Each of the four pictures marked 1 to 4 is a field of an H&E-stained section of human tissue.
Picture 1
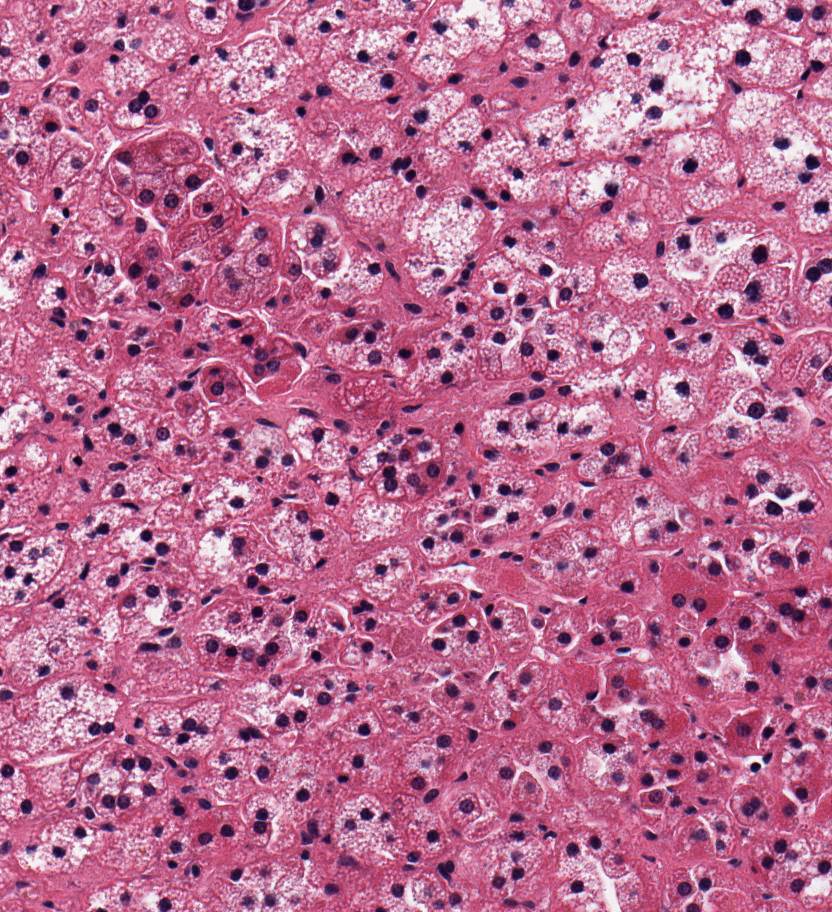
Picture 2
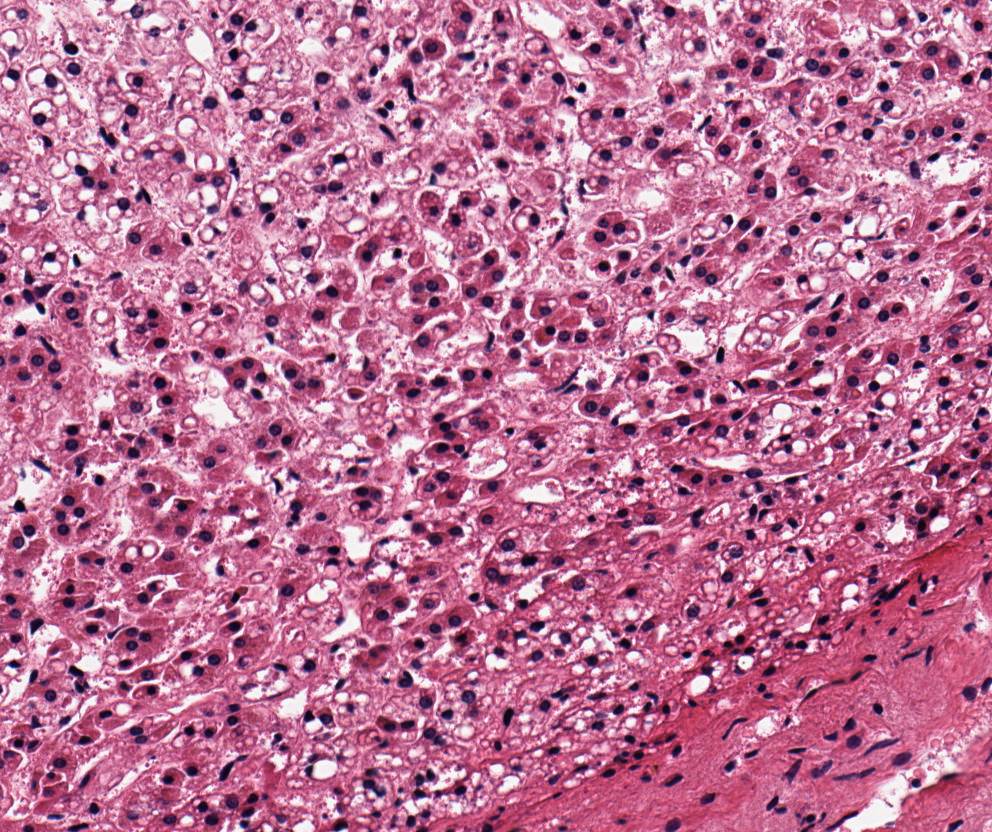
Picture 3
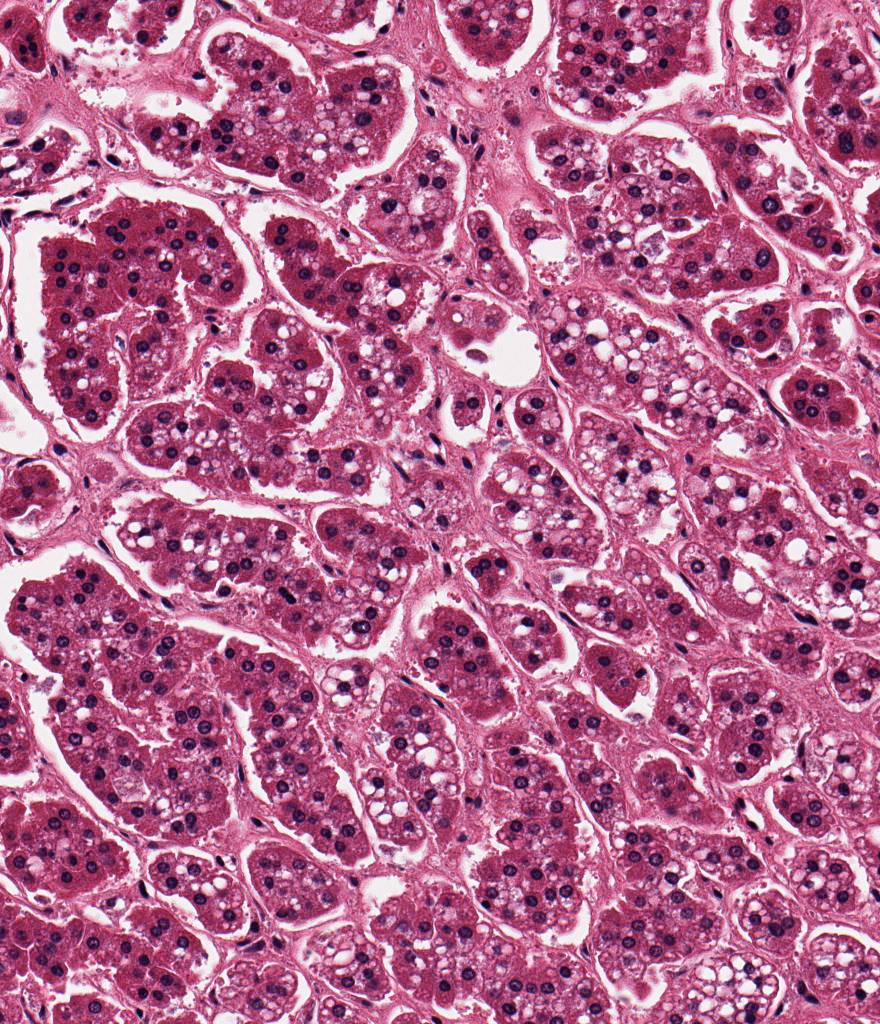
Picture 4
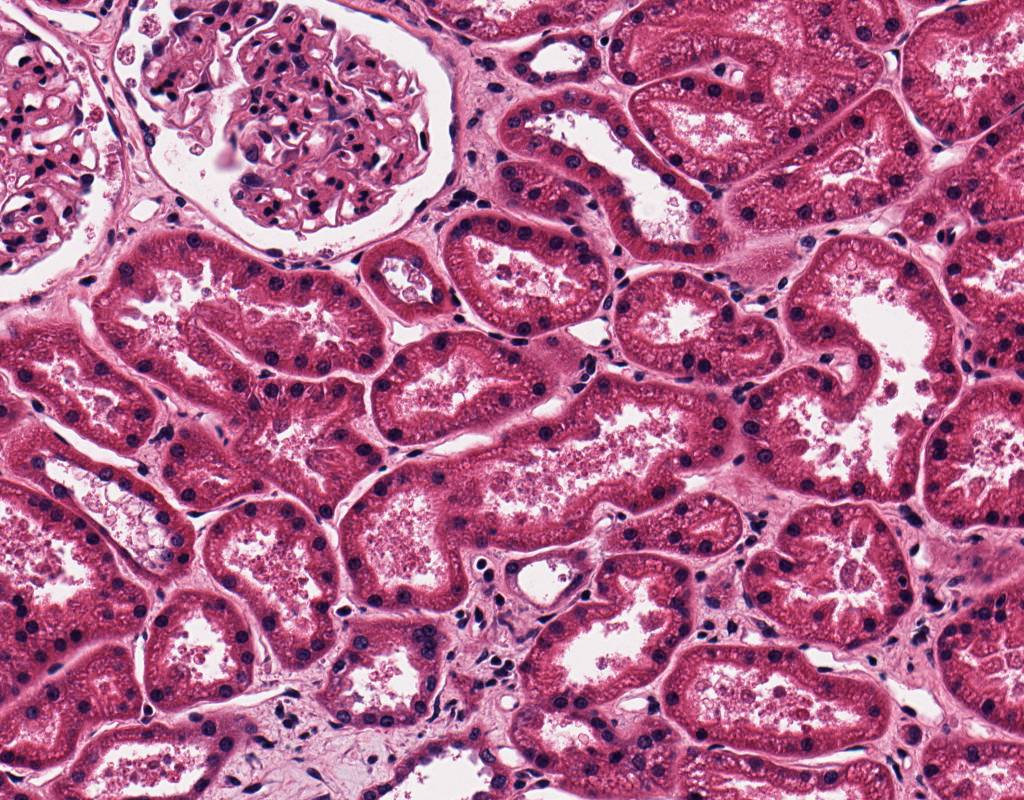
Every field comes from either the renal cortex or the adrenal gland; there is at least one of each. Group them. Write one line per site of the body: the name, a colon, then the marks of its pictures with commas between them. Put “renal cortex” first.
renal cortex: 4
adrenal gland: 1, 2, 3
